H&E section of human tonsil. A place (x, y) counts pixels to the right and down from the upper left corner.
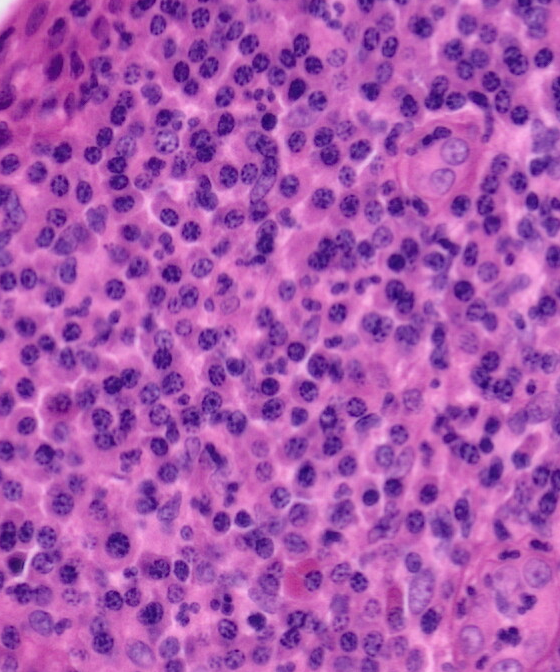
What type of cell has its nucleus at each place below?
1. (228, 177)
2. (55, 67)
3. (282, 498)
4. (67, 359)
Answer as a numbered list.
1. plasma cell
2. squamous epithelial cell
3. plasma cell
4. plasma cell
